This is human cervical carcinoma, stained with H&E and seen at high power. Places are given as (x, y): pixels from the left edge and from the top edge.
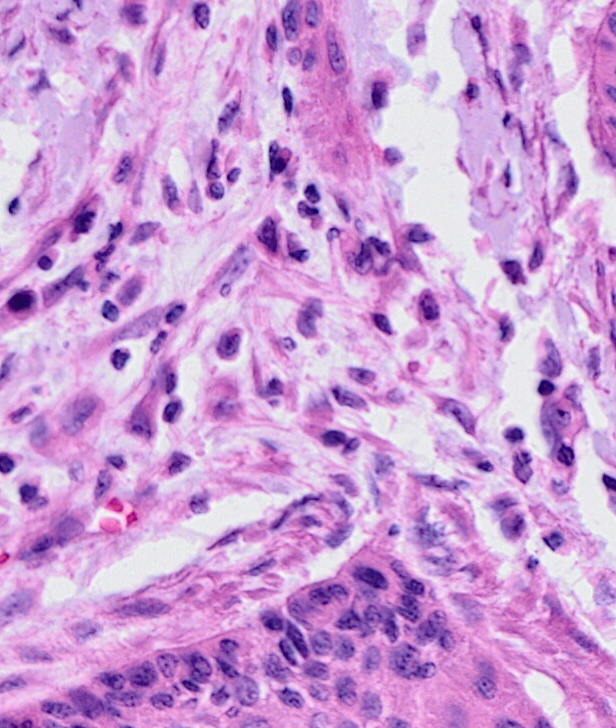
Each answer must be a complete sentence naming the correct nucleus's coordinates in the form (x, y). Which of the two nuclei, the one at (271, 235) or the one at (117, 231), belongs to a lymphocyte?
The nucleus that belongs to a lymphocyte is located at (117, 231).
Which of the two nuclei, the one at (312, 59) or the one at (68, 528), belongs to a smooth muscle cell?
Of these two nuclei, only the one at (312, 59) belongs to a smooth muscle cell.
